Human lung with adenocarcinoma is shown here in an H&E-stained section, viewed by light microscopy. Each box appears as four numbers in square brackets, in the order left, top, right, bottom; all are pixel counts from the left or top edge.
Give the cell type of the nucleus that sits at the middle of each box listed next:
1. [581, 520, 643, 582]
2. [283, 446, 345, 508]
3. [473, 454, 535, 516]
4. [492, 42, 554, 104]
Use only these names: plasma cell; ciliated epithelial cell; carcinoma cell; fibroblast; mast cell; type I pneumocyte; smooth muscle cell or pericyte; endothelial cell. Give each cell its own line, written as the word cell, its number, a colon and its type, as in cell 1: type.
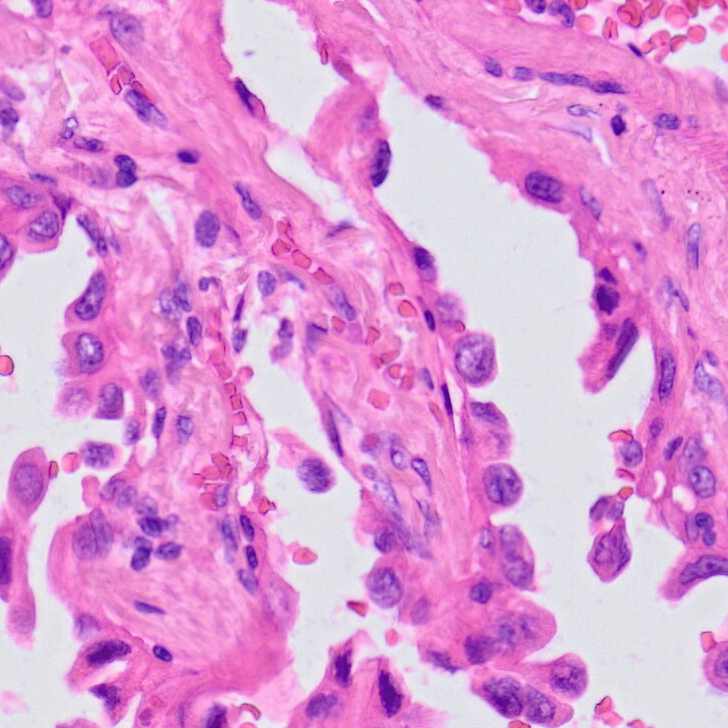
cell 1: carcinoma cell
cell 2: carcinoma cell
cell 3: carcinoma cell
cell 4: smooth muscle cell or pericyte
